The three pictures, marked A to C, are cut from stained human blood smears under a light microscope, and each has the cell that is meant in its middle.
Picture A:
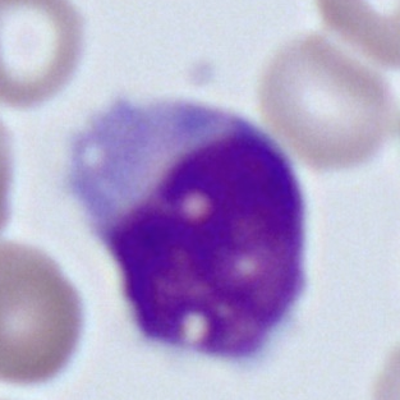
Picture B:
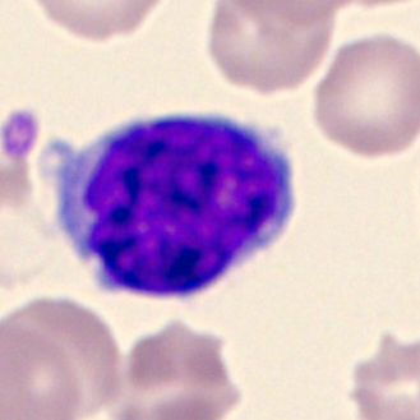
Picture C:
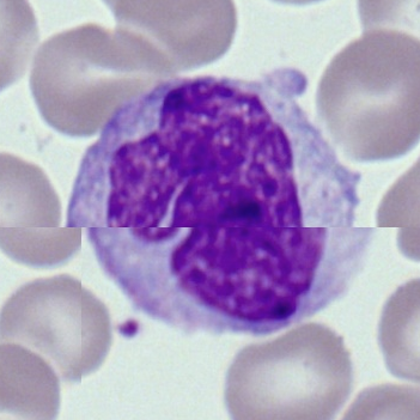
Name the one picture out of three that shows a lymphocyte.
B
